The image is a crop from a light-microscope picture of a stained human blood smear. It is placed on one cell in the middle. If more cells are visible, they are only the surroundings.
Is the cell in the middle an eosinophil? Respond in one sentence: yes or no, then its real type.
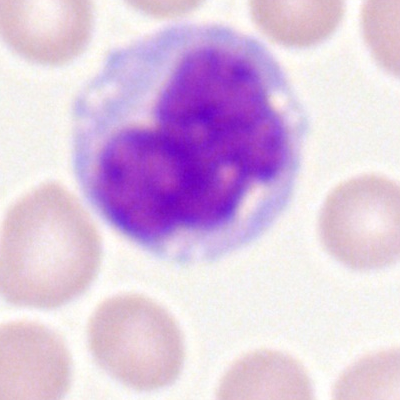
No, rather than being an eosinophil, the central cell is a monocyte.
